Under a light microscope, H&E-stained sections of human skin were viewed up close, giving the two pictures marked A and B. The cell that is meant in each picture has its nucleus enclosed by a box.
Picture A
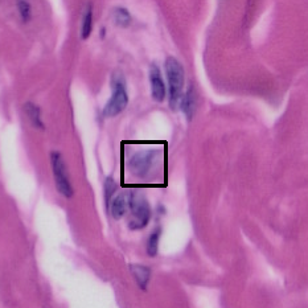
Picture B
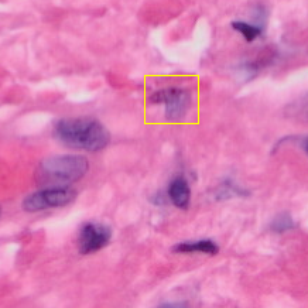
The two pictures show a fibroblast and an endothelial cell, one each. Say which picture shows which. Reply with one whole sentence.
Picture B shows a fibroblast, while picture A shows an endothelial cell.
